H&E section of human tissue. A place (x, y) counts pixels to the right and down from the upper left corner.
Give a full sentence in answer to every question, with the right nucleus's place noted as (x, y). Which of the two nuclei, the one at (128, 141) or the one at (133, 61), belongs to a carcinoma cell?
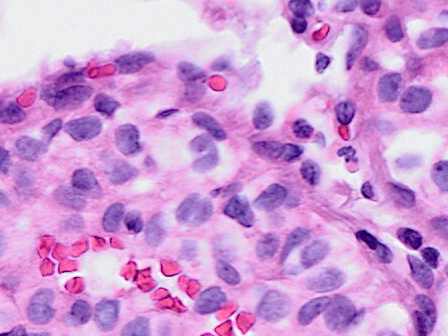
Lying within a carcinoma cell is the nucleus at (128, 141).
